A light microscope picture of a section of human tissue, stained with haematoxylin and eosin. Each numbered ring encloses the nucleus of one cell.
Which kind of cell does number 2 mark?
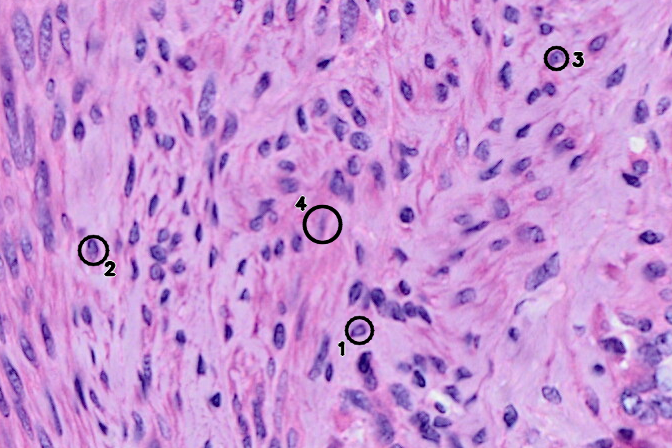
smooth muscle cell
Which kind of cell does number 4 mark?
smooth muscle cell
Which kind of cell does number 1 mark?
fibroblast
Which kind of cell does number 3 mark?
smooth muscle cell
